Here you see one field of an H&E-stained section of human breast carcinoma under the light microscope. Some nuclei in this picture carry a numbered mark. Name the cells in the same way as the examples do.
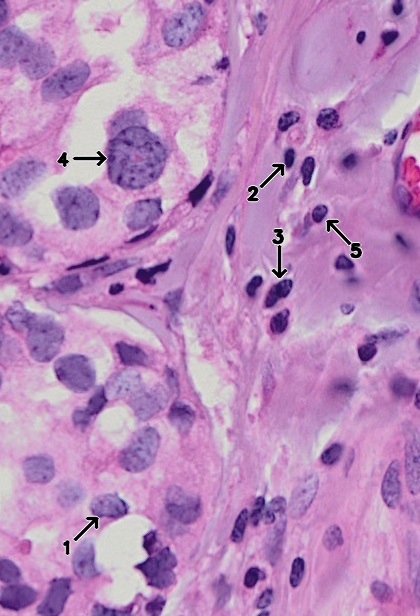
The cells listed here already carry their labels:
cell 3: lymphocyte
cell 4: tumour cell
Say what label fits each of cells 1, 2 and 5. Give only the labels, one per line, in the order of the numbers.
tumour cell
lymphocyte
lymphocyte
